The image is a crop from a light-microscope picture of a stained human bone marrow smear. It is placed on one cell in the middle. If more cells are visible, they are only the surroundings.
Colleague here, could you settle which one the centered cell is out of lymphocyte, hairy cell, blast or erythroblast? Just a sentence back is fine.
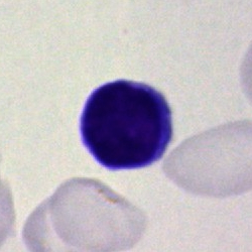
Located at the centre of the crop is a lymphocyte.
